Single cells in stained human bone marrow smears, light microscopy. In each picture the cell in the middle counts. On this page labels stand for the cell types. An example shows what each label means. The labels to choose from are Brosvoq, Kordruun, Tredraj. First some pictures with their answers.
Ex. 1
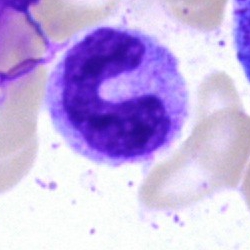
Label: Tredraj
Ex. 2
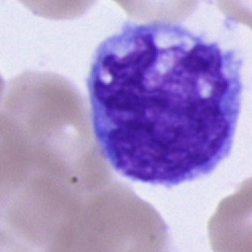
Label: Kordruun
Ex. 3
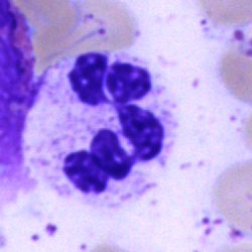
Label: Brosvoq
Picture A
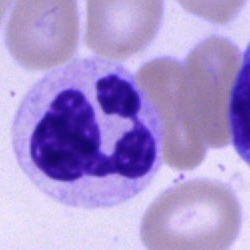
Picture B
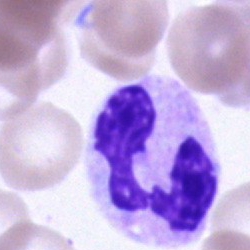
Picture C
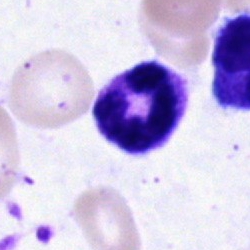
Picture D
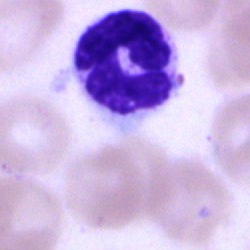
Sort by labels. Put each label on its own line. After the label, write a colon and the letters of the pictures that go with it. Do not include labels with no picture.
Brosvoq: A, B, C, D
